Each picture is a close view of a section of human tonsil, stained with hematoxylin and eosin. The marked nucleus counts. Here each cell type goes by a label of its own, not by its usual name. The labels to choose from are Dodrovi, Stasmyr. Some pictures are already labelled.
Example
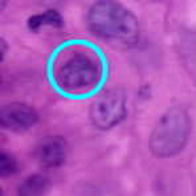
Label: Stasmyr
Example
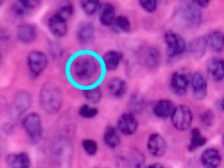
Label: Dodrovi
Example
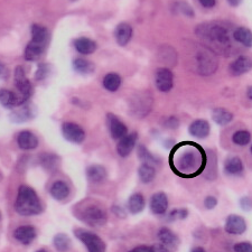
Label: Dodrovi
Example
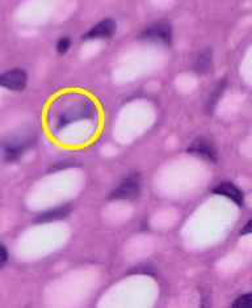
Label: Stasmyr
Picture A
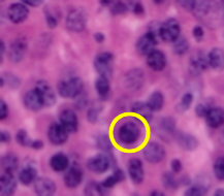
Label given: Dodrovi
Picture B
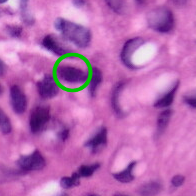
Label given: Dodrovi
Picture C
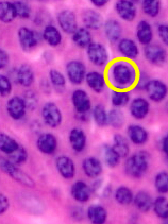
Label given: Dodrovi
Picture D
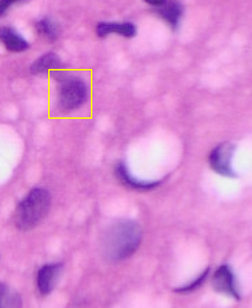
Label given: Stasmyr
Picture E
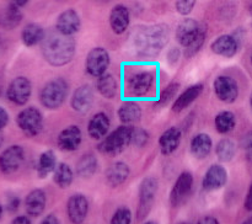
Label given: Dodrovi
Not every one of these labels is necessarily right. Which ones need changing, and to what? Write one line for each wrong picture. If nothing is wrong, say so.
B should be Stasmyr, not Dodrovi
